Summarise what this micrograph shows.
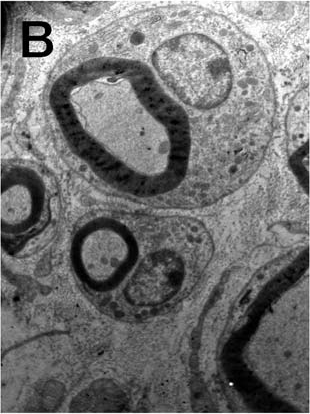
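This is a cross-section of a peripheral nerve, with myelinated axons and the Schwann cells that wrap them. The largest axon, near the top, is surrounded by a thick, dark ring of myelin, and its pale, finely granular axoplasm fills the centre. The myelin ring is in turn enclosed by a band of Schwann cell cytoplasm, and an oval Schwann cell nucleus with granular chromatin lies pressed against it. Lower on the left, a smaller myelinated axon sits beside another oval nucleus inside the same cytoplasmic envelope. Between these units lies pale connective tissue with fine fibres.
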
